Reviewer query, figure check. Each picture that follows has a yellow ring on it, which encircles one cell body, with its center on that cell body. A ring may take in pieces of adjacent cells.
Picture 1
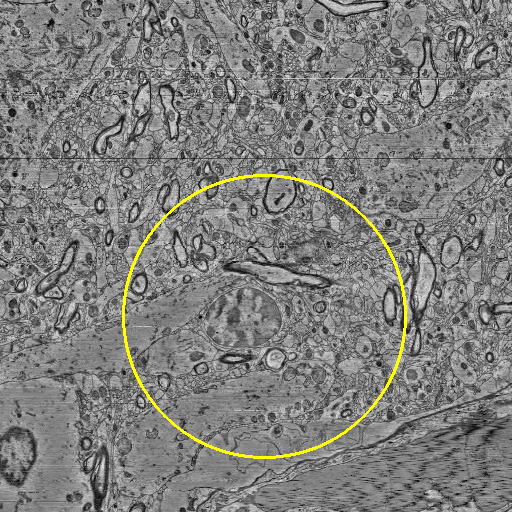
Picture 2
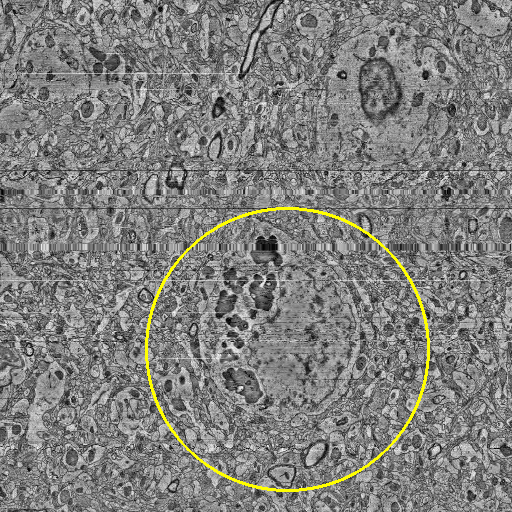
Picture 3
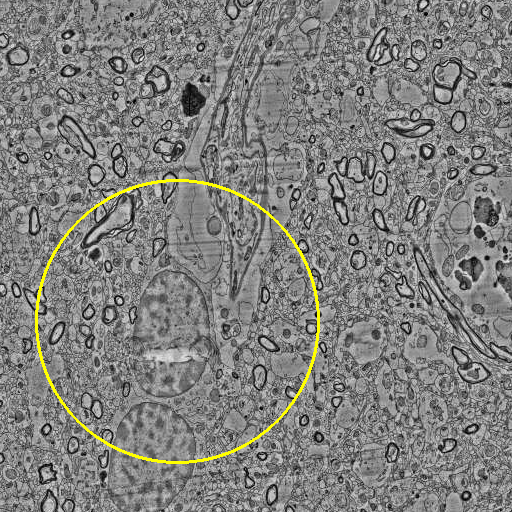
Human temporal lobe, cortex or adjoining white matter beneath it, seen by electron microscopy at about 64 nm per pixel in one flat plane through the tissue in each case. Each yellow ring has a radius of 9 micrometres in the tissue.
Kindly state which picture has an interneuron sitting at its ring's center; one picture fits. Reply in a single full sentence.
In picture 2, the cell at the center of the ring is the requested one.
